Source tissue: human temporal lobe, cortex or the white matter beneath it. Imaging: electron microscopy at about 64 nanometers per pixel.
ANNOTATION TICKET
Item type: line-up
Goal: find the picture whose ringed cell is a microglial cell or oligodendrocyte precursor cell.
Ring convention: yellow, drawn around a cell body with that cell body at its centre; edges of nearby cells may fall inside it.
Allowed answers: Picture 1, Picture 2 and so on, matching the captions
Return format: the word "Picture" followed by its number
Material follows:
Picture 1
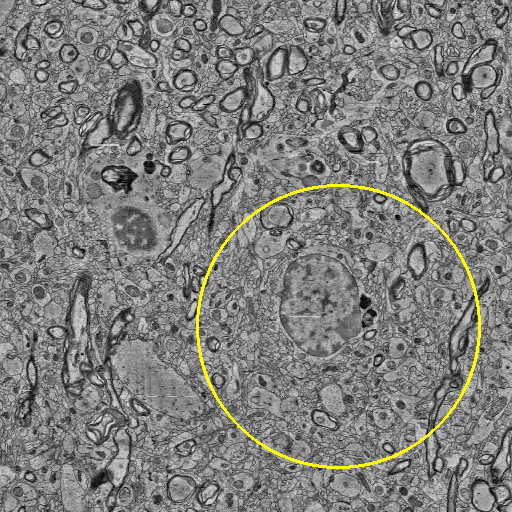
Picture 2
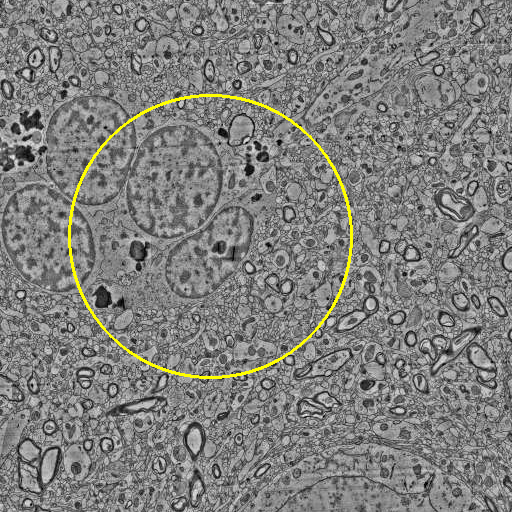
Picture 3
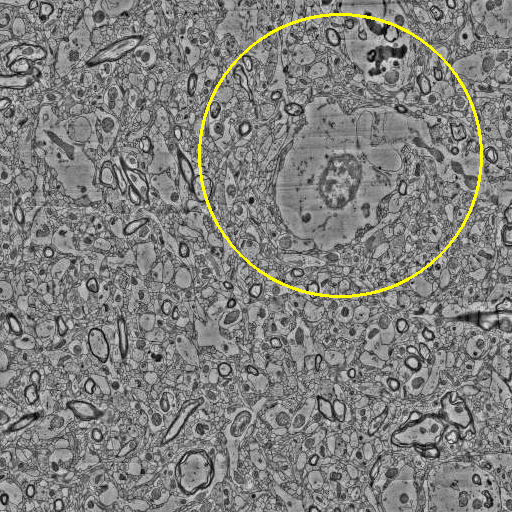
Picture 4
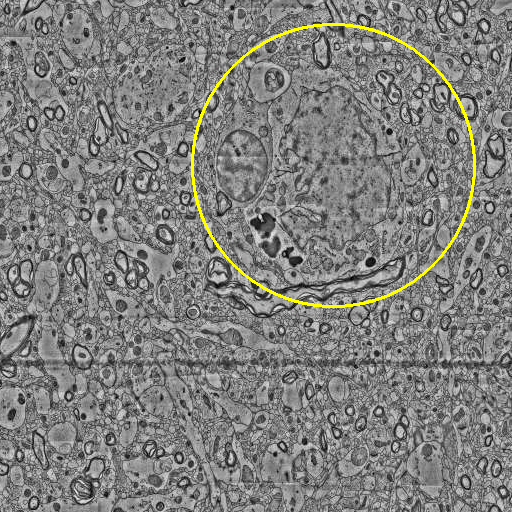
Picture 1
